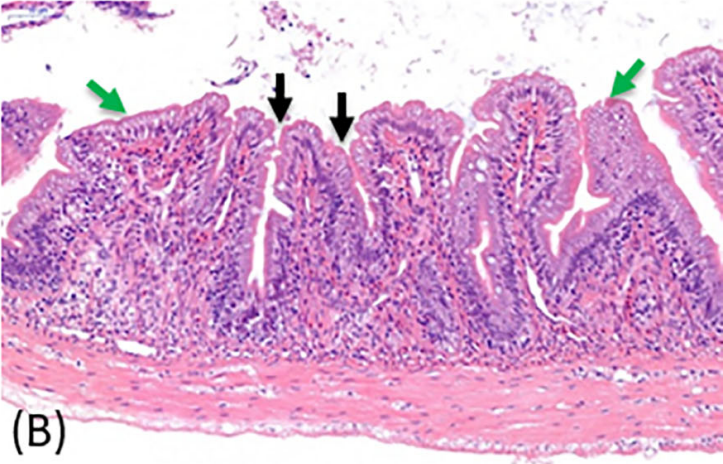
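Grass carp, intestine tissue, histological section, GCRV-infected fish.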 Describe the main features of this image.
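The folds are lined by columnar epithelium with a band of purple nuclei, and the clefts between neighbouring folds are reduced to thin slits. The connective tissue cores of the folds are wide and densely packed with small dark nuclei, with scattered red blood cells. Small dark nuclei also appear within the epithelial layer. A thick pink band of smooth muscle runs along the base of the mucosa.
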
